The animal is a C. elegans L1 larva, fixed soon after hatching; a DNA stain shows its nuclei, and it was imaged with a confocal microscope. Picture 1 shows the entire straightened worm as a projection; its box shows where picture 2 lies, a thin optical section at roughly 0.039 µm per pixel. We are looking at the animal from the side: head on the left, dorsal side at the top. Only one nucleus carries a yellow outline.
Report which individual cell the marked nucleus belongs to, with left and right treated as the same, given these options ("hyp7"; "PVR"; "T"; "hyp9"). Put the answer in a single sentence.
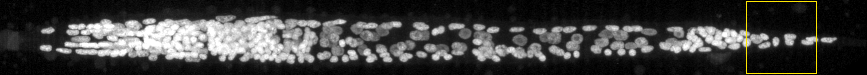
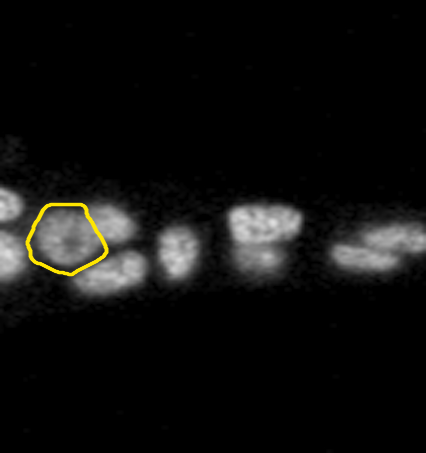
The marked nucleus is that of T, a seam cell.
